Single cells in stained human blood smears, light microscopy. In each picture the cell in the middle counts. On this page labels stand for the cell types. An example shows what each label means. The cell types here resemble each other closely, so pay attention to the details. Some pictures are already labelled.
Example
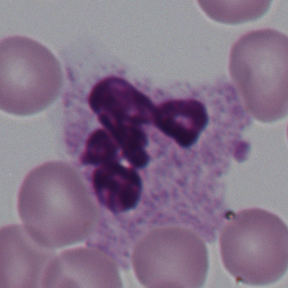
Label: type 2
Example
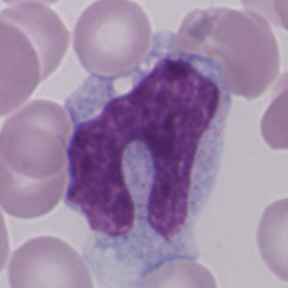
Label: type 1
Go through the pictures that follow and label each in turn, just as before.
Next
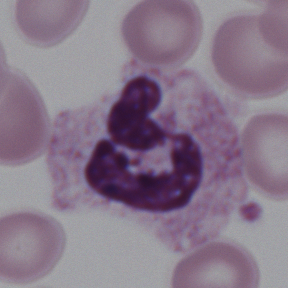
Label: type 2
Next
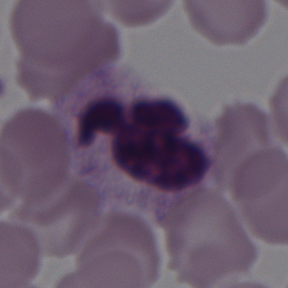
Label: type 2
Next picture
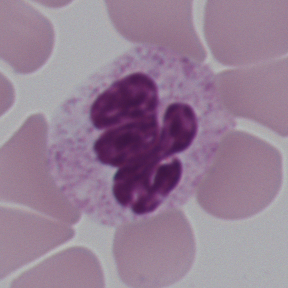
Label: type 2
